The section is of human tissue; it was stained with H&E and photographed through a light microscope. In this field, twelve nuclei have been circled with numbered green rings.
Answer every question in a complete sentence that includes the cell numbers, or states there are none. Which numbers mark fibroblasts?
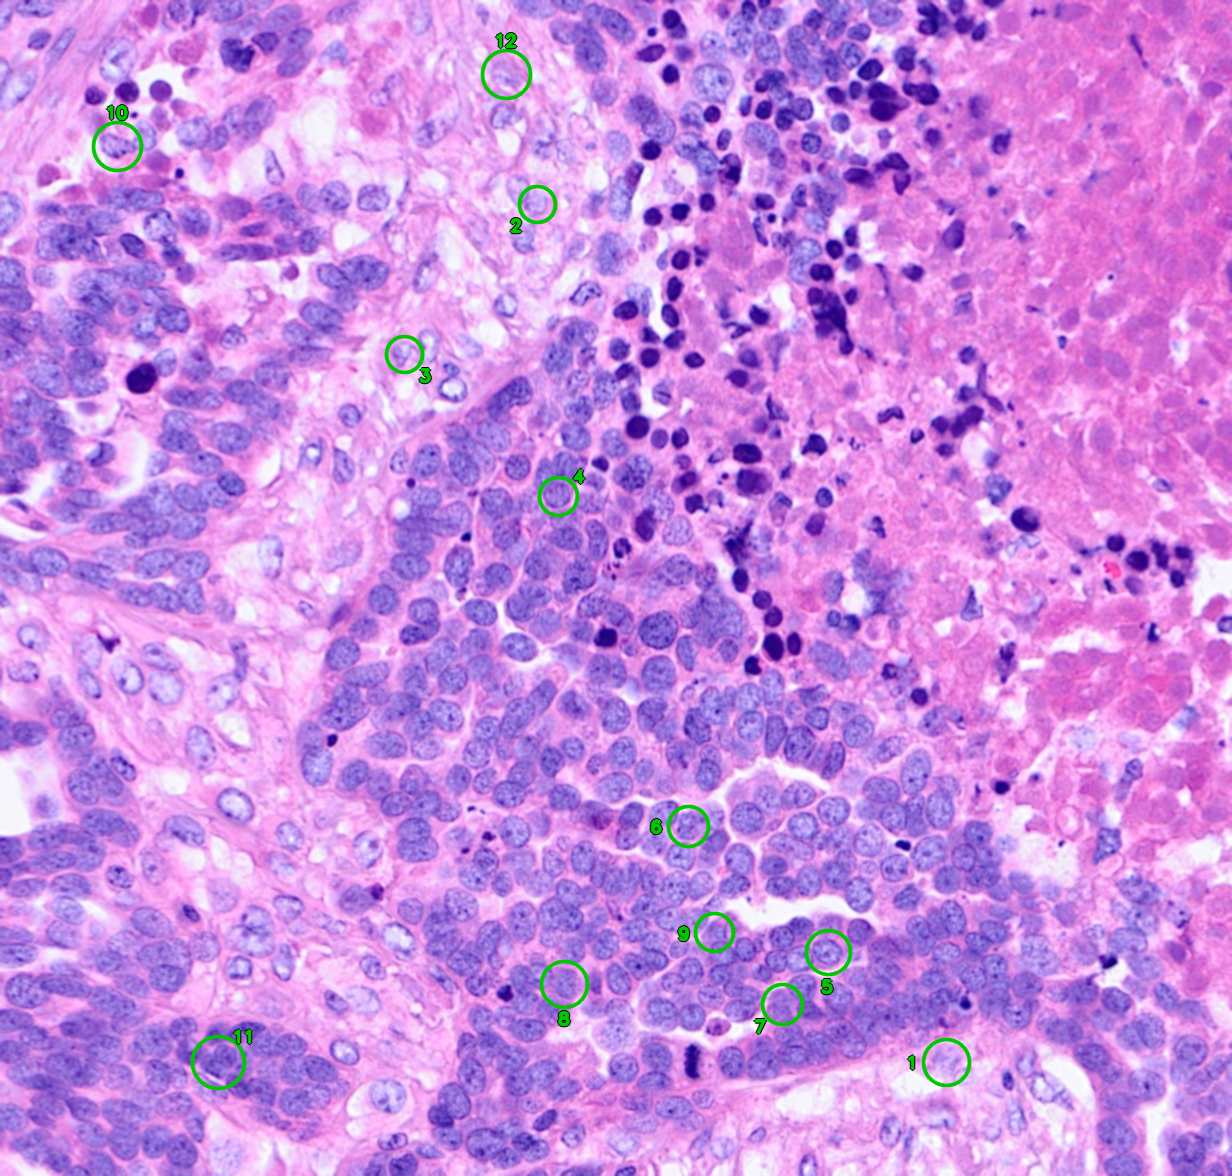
As for the cells numbered 1, 2, 3 and 12, they are fibroblasts.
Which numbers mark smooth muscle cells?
The numbered nuclei belong to cells that are not smooth muscle cells.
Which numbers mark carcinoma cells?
Marked by the numbers 4, 5, 6, 7, 8, 9 and 11 are cells that are carcinoma cells.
